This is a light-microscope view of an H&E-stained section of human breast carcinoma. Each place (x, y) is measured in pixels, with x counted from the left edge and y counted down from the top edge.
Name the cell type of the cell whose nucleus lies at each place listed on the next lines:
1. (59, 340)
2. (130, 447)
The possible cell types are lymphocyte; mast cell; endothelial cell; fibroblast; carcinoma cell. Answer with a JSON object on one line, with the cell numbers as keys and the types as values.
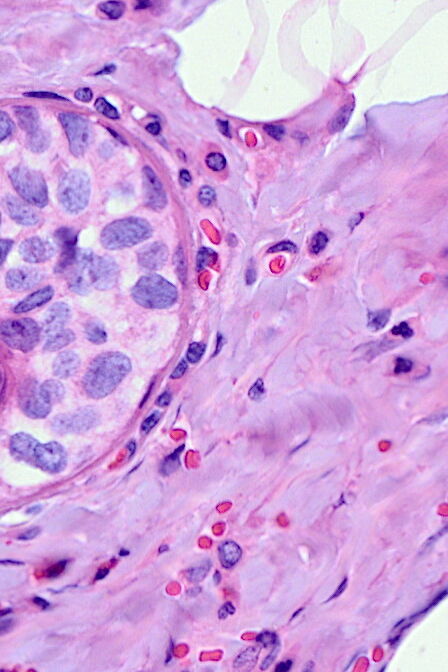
{"1": "carcinoma cell", "2": "endothelial cell"}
